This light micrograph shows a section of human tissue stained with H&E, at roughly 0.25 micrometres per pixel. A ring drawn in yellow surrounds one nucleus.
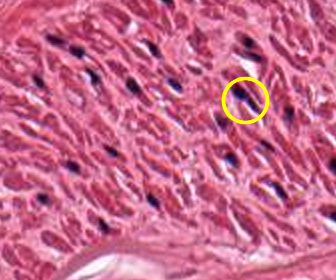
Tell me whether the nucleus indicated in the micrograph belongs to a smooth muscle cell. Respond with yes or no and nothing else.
yes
